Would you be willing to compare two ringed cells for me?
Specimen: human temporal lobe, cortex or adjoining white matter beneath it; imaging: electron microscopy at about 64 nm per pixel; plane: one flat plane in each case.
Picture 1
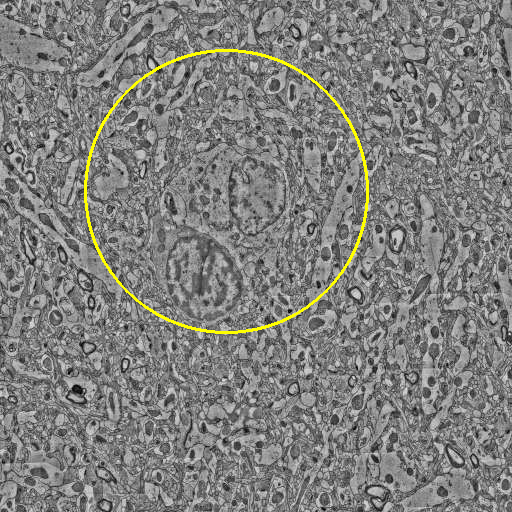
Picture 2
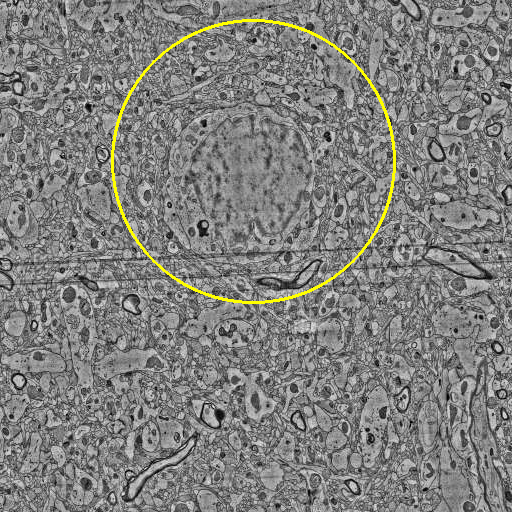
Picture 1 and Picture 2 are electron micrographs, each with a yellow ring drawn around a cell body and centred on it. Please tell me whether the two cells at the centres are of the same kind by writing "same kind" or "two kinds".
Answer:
same kind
